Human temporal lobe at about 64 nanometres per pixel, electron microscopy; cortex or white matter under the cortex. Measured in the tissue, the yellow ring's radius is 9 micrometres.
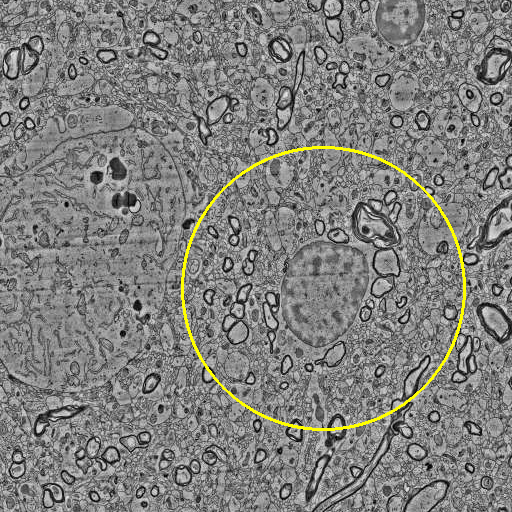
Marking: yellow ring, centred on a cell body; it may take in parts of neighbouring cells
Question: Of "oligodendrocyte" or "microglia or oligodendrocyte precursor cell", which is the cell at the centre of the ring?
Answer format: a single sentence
The ring surrounds the body of an oligodendrocyte.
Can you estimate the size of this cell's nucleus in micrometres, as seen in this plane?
In this plane, the nucleus is roughly 7 by 6 micrometres.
